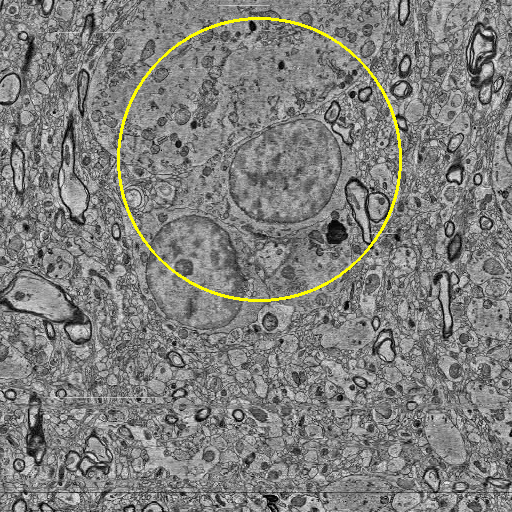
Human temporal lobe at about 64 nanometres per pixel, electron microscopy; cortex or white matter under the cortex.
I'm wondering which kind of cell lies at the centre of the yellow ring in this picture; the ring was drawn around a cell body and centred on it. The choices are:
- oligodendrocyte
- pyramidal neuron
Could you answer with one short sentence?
At the centre of the ring lies an oligodendrocyte.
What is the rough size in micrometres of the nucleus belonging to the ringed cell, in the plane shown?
Roughly 8 micrometres by 7 micrometres, in this plane.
